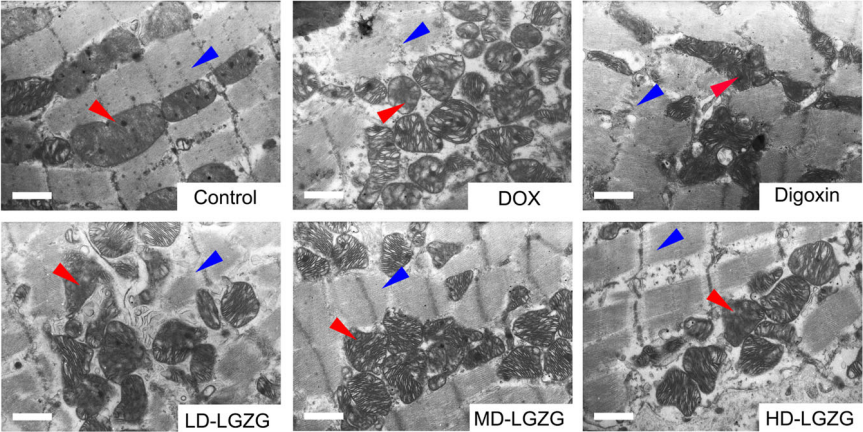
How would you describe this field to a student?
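These electron micrographs show heart muscle cells at high magnification, with mitochondria lying between the myofibrils. The myofibrils are broad bands of fine filaments, crossed at regular intervals by dark transverse lines that mark off the repeating units of contraction. Between them sit the mitochondria: dense, grey-black bodies packed with many thin parallel folds of inner membrane. In some fields they are elongated and lie in neat rows along the myofibrils; in others they are rounded and crowded into clusters that push the filament bundles apart, with pale spaces around them.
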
